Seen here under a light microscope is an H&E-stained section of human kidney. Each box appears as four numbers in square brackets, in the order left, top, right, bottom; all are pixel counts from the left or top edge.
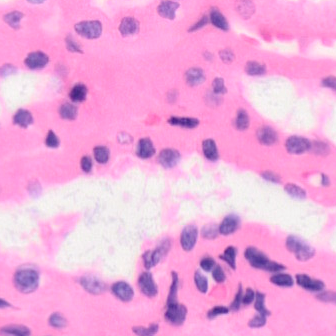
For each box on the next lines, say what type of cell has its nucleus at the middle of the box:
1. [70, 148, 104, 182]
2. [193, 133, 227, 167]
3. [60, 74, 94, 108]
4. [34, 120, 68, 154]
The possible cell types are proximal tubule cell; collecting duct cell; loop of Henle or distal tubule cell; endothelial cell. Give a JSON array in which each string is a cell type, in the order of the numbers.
["loop of Henle or distal tubule cell", "loop of Henle or distal tubule cell", "loop of Henle or distal tubule cell", "endothelial cell"]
